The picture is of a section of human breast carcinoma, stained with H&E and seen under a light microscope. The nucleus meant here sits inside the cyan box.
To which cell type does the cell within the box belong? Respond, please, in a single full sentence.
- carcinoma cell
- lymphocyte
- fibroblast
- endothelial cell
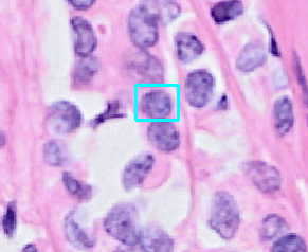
It is as a carcinoma cell that the cell within the box is classified.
